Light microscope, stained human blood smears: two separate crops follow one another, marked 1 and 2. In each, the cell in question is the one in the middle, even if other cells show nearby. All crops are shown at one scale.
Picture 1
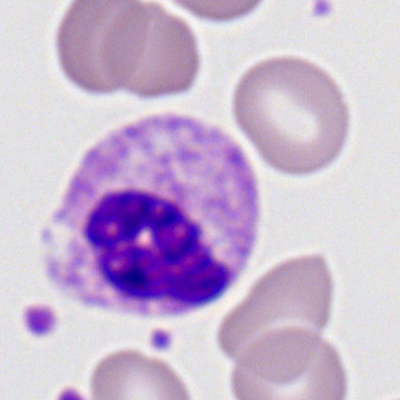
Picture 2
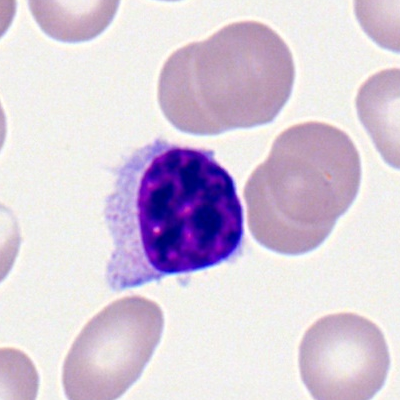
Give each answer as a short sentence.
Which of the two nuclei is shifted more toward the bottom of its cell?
The nucleus in picture 1 lies further toward the bottom of its cell.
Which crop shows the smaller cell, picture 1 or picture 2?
Picture 2 holds the smaller cell, since the cell in picture 1 covers about 2 times as much area.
